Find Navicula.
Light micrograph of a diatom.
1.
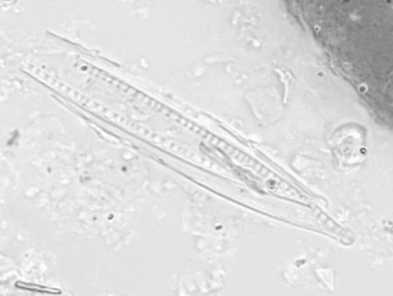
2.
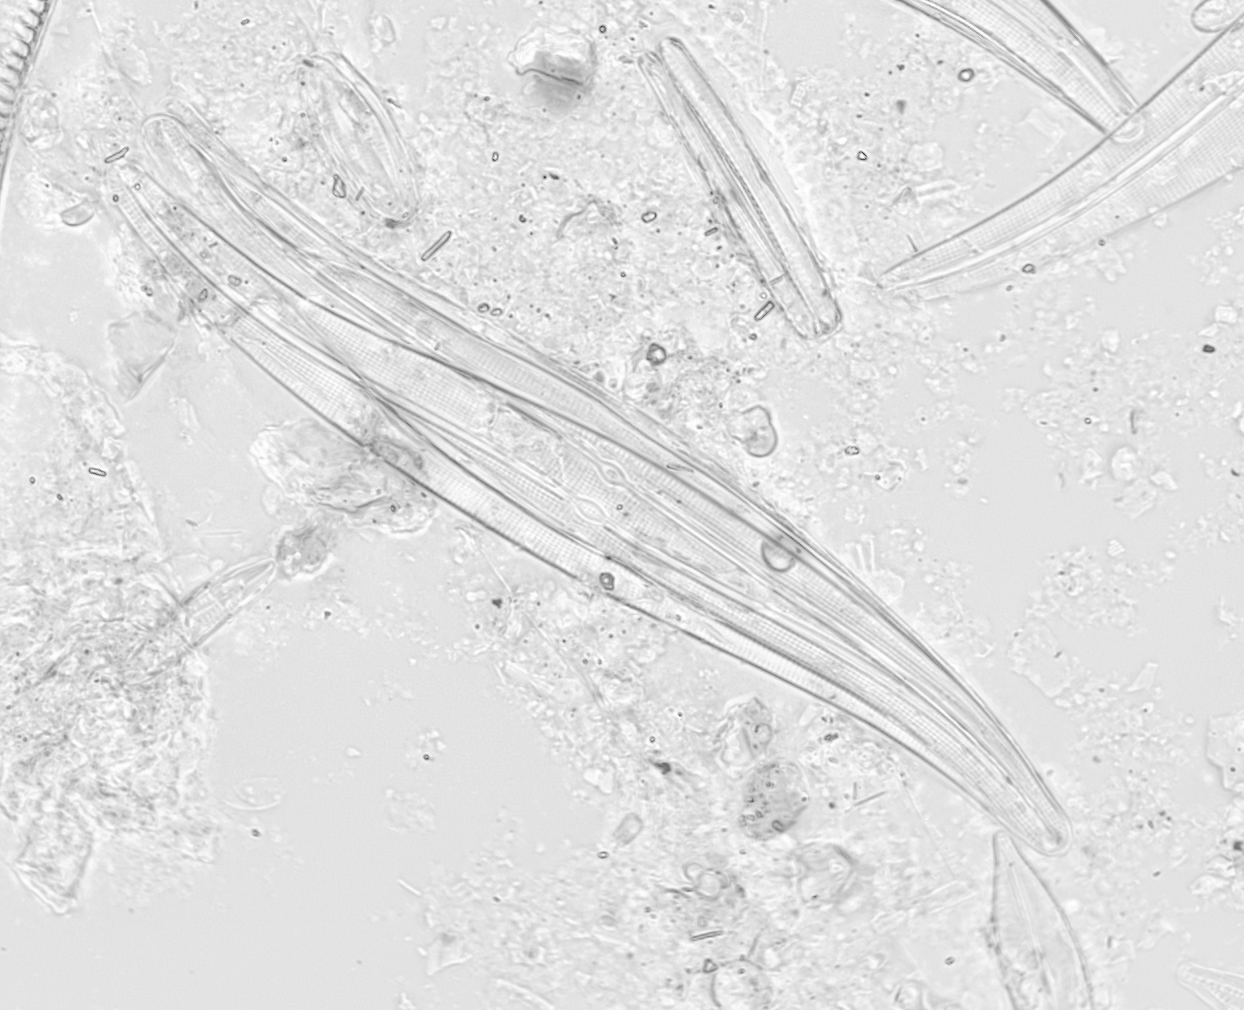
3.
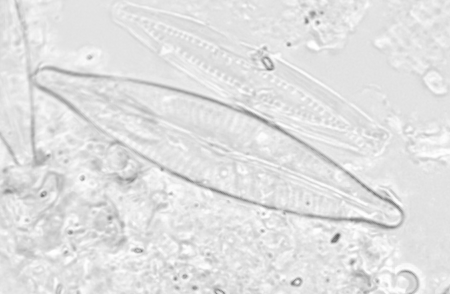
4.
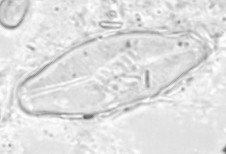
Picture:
3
